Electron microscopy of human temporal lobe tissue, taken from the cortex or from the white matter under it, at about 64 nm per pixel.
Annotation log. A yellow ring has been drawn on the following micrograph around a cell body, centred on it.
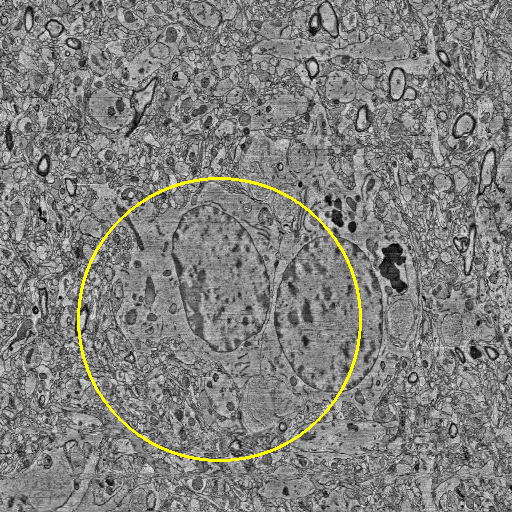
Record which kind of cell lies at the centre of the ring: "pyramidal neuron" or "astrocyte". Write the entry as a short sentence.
The cell the ring is centred on is an astrocyte.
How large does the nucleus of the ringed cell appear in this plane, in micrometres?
The nucleus is about 10 micrometres in length and 6 in width, clearly longer than it is wide in this plane.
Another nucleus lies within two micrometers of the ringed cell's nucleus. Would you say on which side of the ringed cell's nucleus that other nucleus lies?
The other nucleus lies to the right of it in the picture.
